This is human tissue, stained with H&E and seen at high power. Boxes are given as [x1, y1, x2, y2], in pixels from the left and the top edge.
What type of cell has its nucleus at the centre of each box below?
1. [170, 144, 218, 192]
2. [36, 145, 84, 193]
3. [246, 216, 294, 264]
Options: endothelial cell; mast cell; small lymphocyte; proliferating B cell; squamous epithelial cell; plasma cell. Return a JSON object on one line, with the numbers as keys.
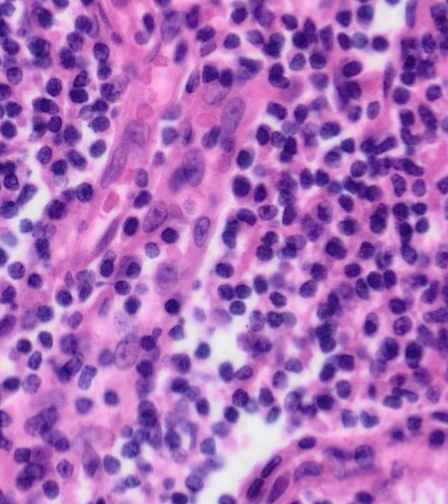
{"1": "endothelial cell", "2": "small lymphocyte", "3": "small lymphocyte"}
